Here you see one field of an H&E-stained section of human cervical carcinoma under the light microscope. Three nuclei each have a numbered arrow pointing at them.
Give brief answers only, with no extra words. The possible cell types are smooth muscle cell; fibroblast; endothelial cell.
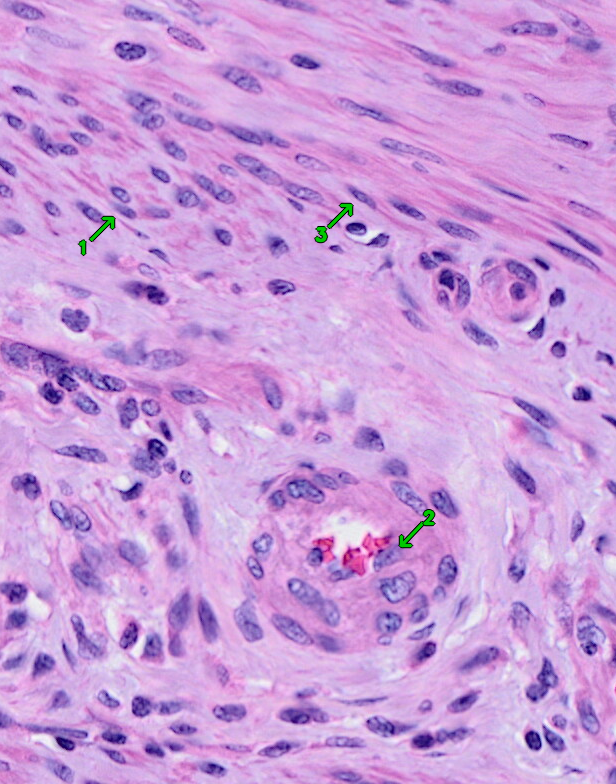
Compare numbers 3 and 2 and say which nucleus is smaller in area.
3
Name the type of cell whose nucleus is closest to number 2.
smooth muscle cell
